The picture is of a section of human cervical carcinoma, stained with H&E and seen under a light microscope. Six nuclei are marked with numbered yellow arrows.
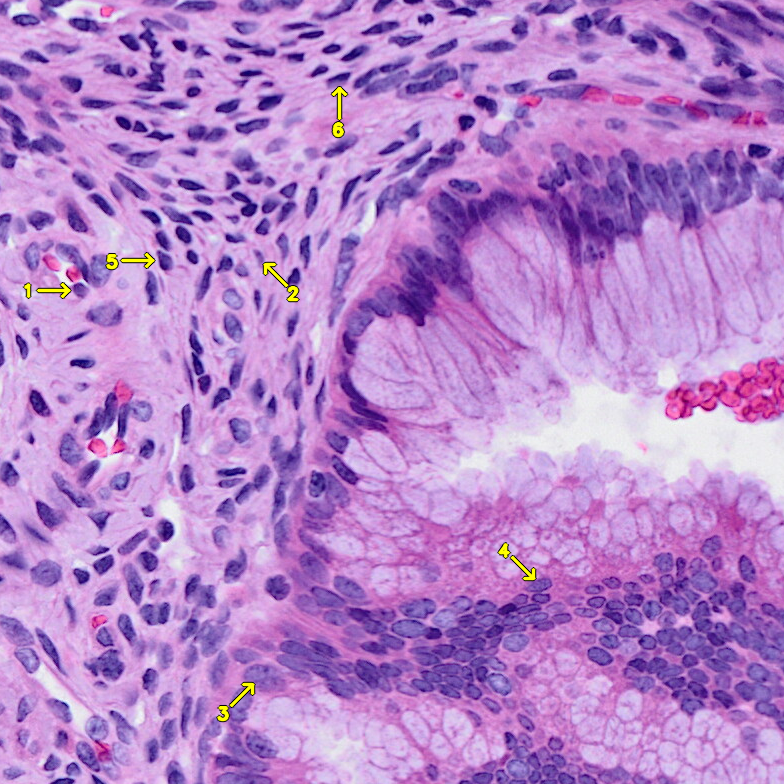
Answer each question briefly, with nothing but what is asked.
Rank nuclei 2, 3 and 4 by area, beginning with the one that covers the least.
2, 4, 3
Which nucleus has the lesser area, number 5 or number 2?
2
